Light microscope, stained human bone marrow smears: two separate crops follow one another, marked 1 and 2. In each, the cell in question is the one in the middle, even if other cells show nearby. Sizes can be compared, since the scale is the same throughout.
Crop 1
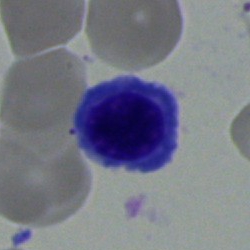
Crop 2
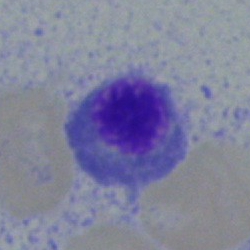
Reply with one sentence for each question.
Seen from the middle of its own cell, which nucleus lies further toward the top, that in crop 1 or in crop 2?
It is the nucleus in crop 2 that lies further toward the top of its cell.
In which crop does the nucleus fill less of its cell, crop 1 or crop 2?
The nucleus fills less of the cell in crop 2 than in crop 1.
